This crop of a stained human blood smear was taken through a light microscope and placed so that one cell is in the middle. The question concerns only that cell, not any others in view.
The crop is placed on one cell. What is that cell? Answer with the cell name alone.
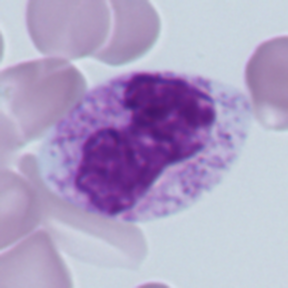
band neutrophil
